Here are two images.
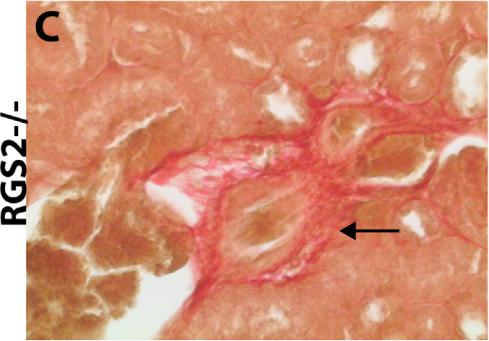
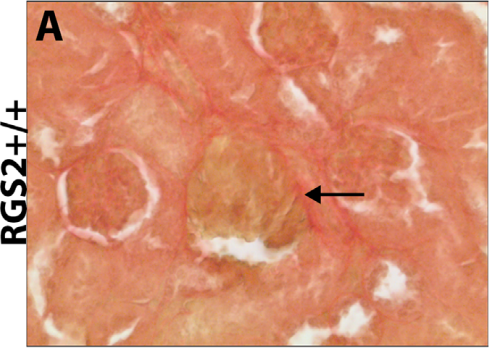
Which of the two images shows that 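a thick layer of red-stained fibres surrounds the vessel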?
The first image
